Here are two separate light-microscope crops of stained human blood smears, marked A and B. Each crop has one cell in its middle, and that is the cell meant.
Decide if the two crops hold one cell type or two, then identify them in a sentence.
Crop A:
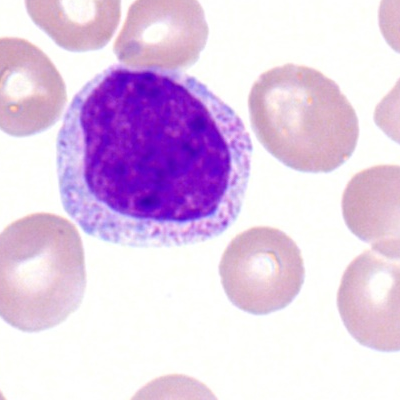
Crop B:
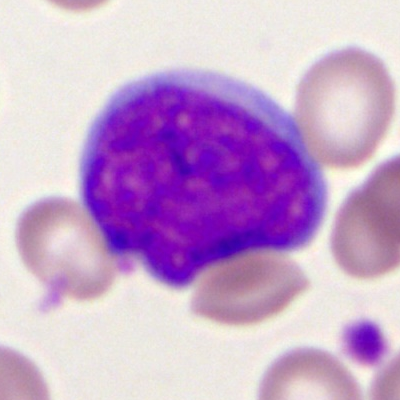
No, crop A contains a lymphocyte, while crop B contains a myeloblast.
